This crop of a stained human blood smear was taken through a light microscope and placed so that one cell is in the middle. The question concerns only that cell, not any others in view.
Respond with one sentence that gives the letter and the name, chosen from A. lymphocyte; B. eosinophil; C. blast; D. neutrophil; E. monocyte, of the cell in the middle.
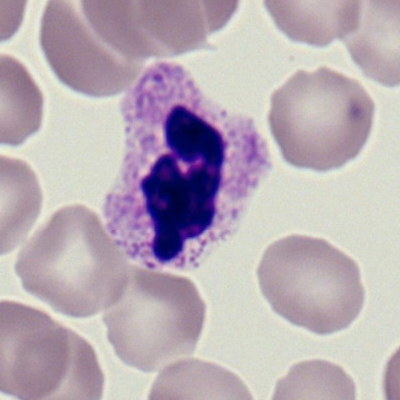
Answer key: option D, the middle cell being a neutrophil.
